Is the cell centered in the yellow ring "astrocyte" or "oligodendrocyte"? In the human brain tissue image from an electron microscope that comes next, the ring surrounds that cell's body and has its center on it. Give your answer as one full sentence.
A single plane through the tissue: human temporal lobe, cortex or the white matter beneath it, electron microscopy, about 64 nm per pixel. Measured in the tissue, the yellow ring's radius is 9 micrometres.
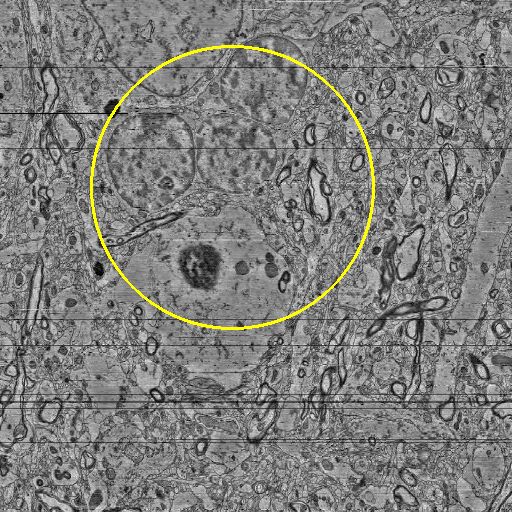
The cell at the center of the yellow ring is an oligodendrocyte in the micrograph.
